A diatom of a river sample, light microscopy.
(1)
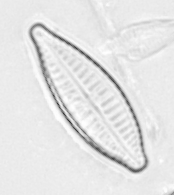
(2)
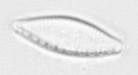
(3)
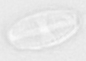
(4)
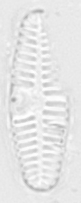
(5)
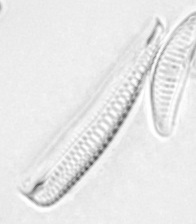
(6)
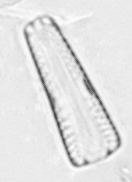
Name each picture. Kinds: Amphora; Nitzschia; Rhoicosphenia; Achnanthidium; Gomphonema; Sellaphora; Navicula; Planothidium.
1: Gomphonema
2: Nitzschia
3: Sellaphora
4: Planothidium
5: Rhoicosphenia
6: Gomphonema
